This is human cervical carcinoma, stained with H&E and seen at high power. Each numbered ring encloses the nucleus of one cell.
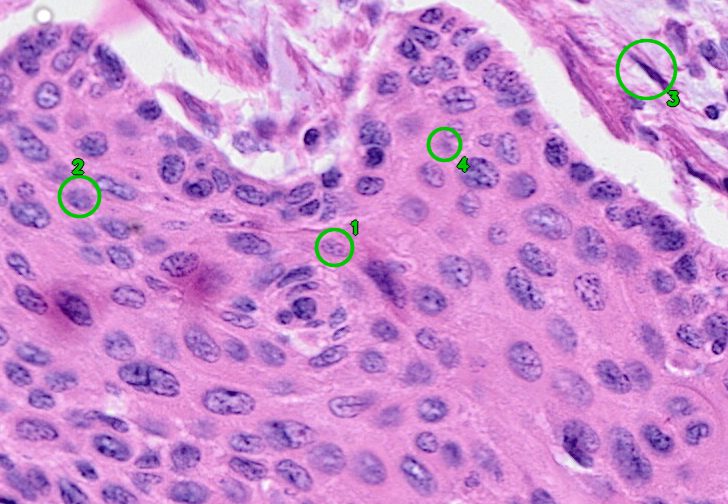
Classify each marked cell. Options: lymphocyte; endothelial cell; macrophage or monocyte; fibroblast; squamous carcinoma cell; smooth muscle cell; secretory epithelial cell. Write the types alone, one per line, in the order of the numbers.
squamous carcinoma cell
squamous carcinoma cell
fibroblast
squamous carcinoma cell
